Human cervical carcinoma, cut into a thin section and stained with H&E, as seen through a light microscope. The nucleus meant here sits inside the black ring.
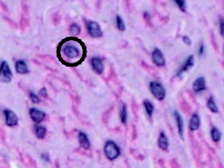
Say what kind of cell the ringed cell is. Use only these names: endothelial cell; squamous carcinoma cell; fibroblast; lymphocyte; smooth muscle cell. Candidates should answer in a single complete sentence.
The identity of the ringed cell: it is a smooth muscle cell.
